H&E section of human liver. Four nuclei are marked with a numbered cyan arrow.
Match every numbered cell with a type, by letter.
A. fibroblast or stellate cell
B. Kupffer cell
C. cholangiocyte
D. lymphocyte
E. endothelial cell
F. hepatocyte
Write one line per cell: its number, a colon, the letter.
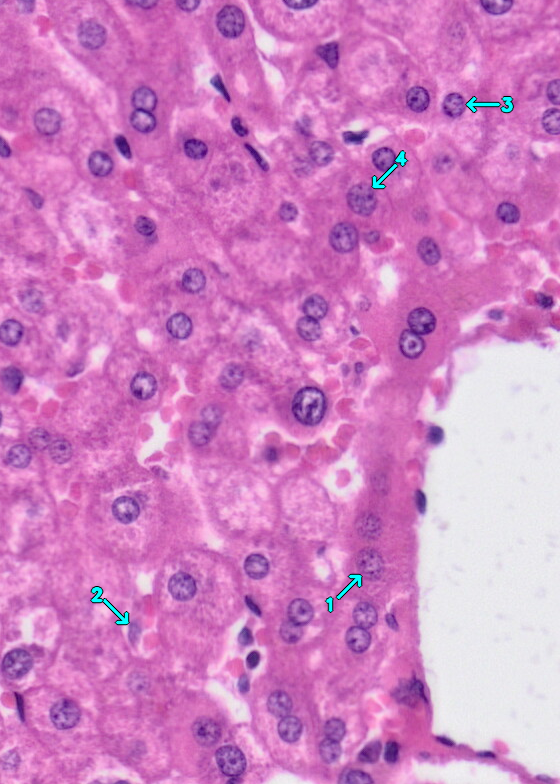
1: F
2: B
3: F
4: F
